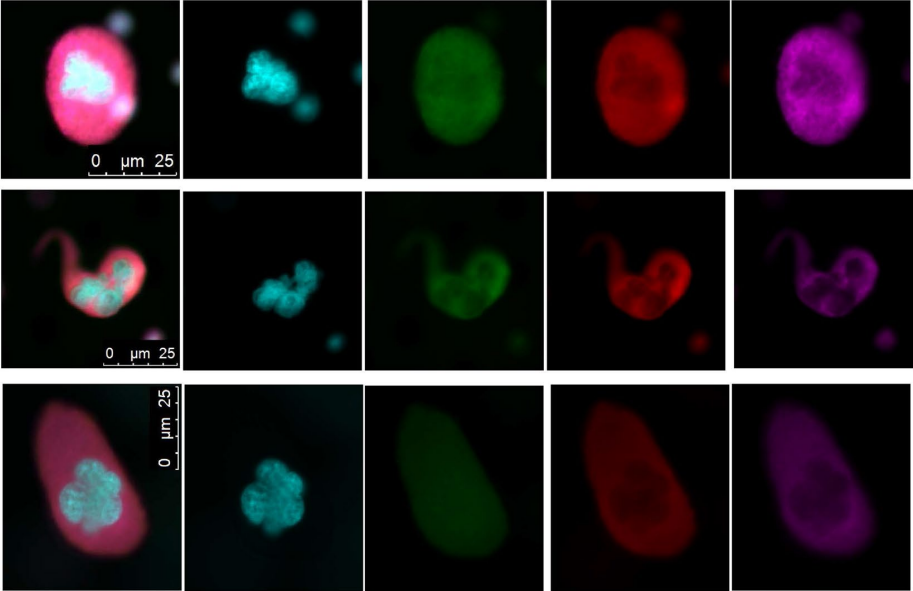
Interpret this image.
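Two cells are broad and oval, and one is curled into a hook with a thin tail. Each cell contains a large nucleus with several lobes, shown in cyan. Small round nuclei of other cells lie beside them and are much smaller.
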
